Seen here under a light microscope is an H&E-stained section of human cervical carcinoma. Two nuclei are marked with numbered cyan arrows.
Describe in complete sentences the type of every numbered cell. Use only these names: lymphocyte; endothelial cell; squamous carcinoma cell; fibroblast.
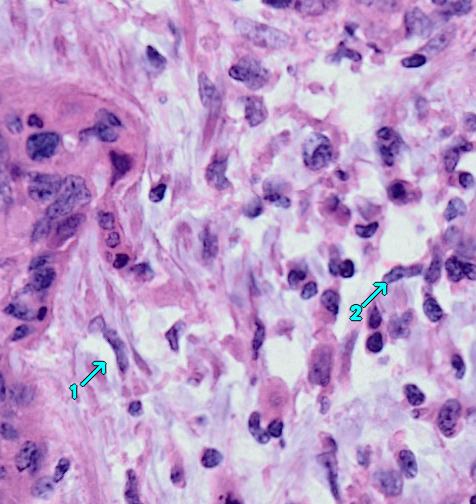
Cell 1 is a fibroblast and cell 2 is a lymphocyte.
